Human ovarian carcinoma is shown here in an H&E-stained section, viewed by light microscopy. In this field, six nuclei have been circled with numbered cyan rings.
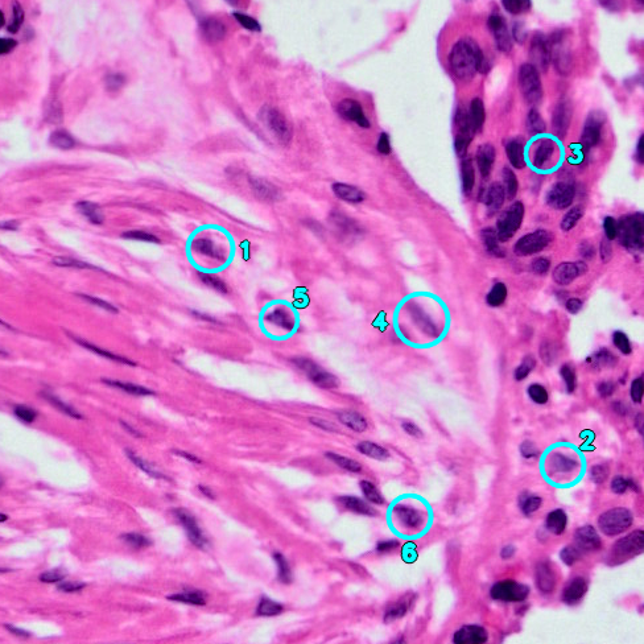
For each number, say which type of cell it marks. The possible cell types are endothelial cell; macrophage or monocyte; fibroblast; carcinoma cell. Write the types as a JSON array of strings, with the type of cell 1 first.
["fibroblast", "macrophage or monocyte", "carcinoma cell", "fibroblast", "fibroblast", "fibroblast"]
